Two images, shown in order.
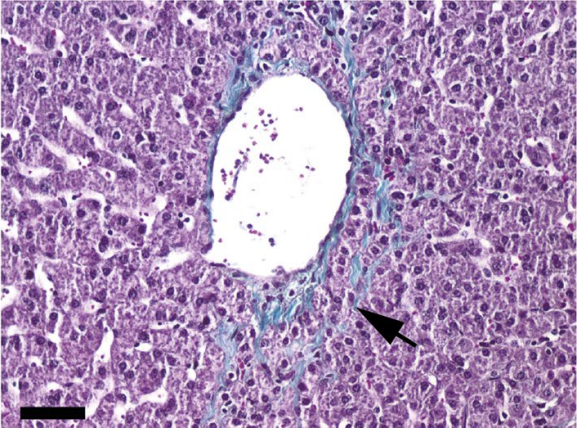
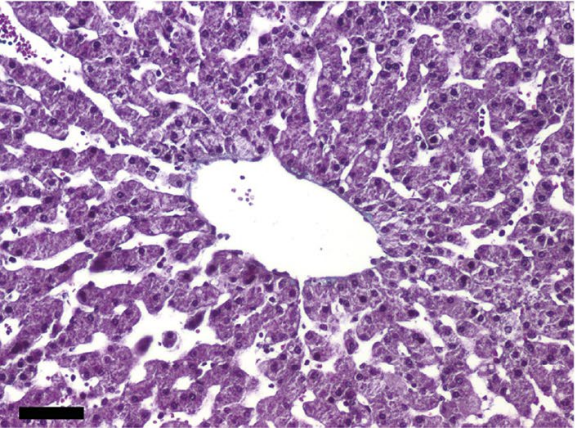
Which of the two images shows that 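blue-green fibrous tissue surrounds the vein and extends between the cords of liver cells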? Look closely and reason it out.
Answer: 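First image: a thick blue-green cuff around the vein with strands running out among the hepatocytes. Second image: only a thin faint blue rim lines the vein and the surrounding cords are free of blue-green fibres.
Hence: the first image.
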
